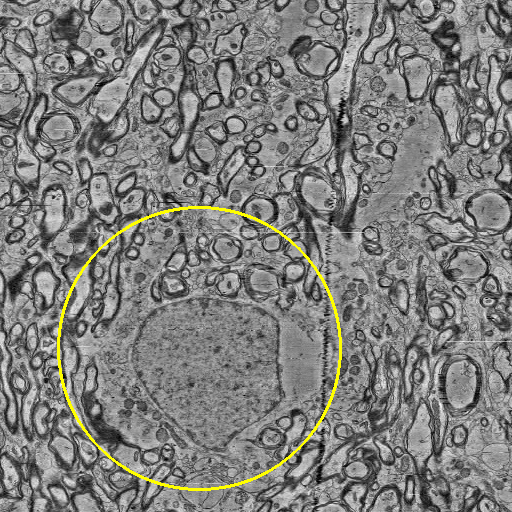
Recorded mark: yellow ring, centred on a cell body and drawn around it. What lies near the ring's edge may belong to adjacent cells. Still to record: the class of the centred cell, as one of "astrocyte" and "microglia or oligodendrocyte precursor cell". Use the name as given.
astrocyte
